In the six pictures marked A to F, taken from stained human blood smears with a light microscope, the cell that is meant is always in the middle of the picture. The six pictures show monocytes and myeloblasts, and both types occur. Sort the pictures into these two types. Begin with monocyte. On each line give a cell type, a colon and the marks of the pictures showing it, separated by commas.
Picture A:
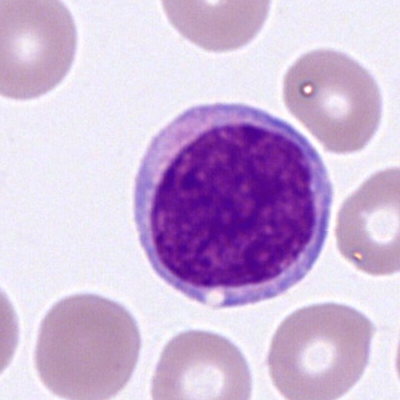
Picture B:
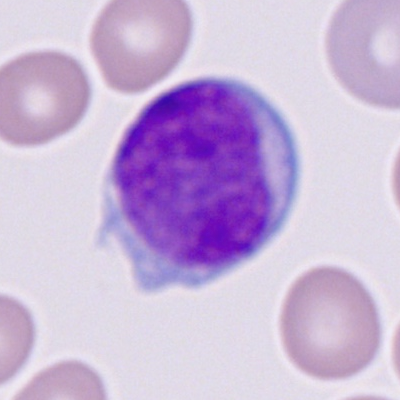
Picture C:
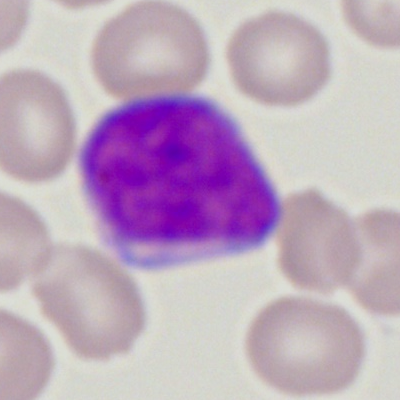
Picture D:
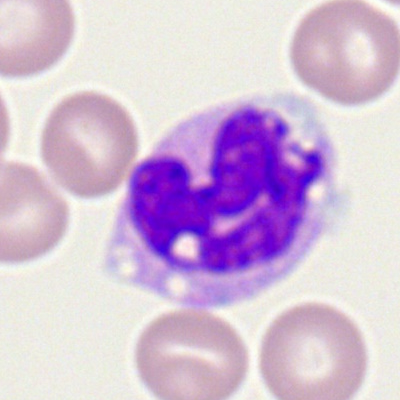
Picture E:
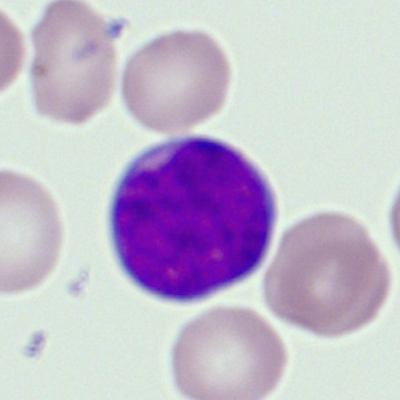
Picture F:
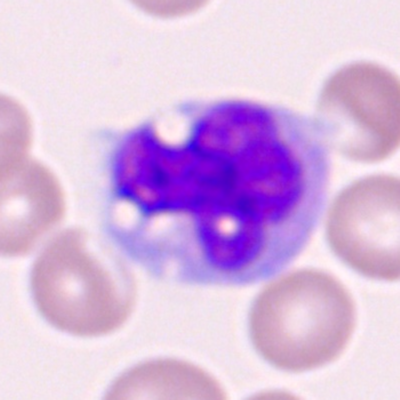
monocyte: D, F
myeloblast: A, B, C, E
